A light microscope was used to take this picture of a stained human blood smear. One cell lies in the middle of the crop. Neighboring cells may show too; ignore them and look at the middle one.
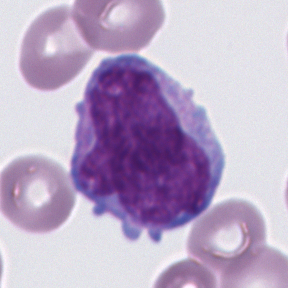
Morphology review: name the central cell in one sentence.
The middle of this crop holds an atypical promyelocyte.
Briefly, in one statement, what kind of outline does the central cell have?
Smoothness is lacking at the edge, which is ragged in places or drawn into projections.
